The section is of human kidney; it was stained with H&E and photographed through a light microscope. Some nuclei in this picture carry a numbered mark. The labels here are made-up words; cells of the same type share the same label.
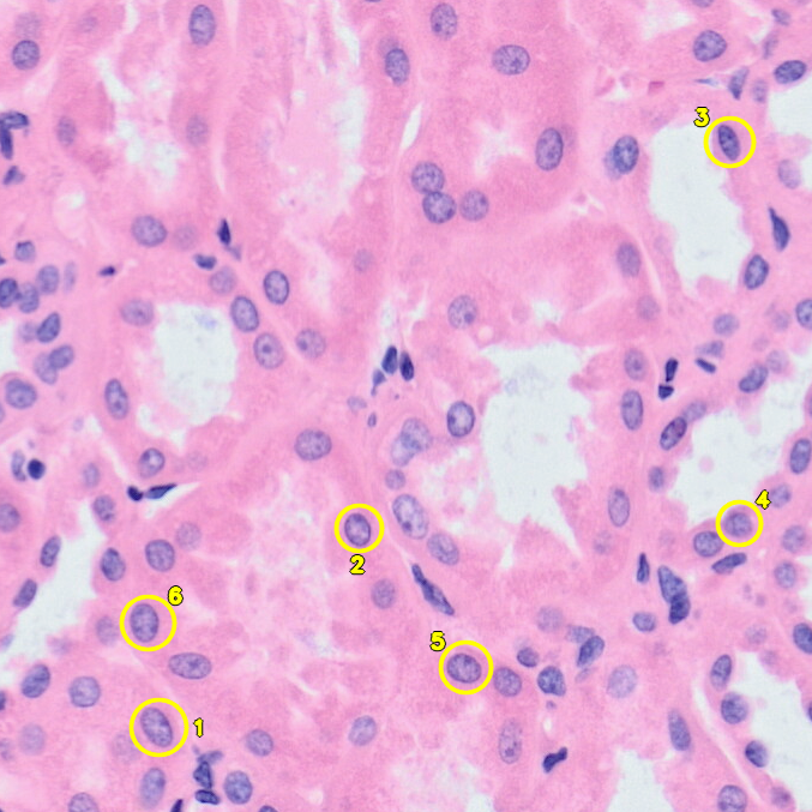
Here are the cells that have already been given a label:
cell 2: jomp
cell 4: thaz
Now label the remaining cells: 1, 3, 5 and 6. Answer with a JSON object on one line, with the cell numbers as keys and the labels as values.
{"1": "jomp", "3": "thaz", "5": "jomp", "6": "jomp"}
